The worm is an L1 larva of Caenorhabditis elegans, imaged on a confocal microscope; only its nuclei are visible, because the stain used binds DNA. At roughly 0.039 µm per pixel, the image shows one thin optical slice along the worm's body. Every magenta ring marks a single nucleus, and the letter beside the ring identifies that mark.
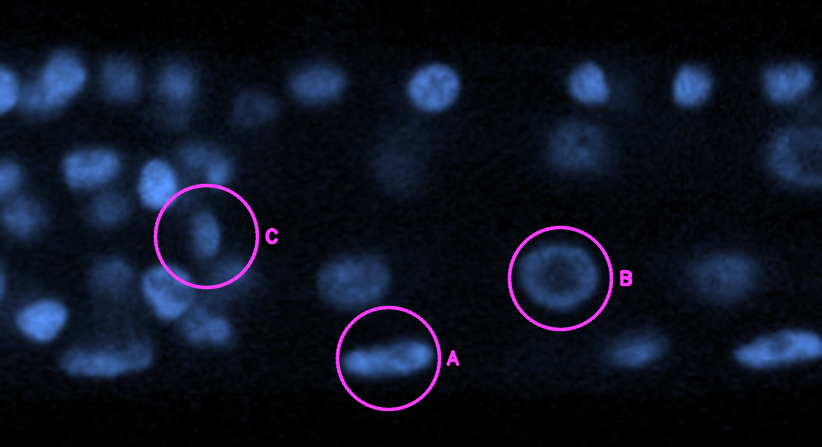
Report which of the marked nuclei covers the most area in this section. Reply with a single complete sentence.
The largest cut area is that of B.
